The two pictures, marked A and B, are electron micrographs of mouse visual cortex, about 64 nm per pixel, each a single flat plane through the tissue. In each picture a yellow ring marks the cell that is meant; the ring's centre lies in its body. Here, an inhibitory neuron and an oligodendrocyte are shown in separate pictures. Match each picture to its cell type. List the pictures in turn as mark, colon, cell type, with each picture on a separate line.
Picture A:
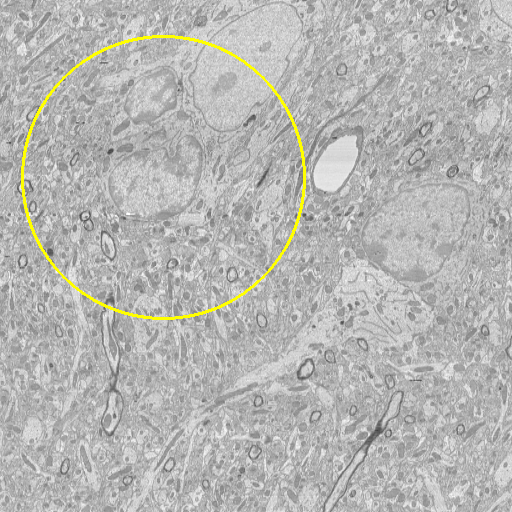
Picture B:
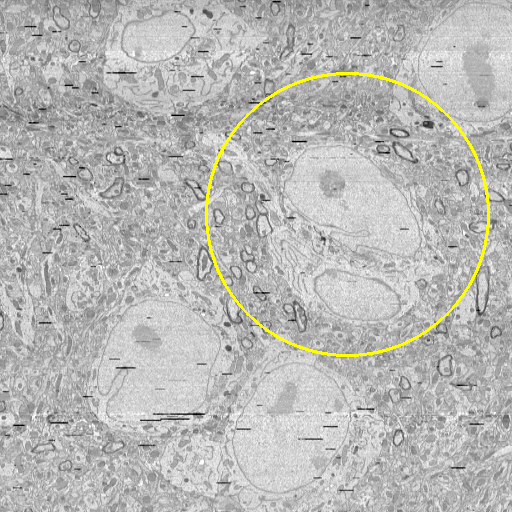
A: oligodendrocyte
B: inhibitory neuron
